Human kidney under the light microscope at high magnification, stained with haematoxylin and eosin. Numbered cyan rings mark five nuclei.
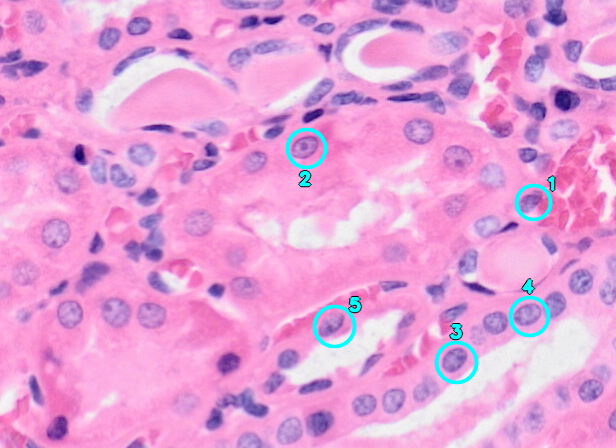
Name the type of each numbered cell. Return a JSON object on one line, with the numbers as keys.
{"1": "endothelial cell", "2": "proximal tubule cell", "3": "collecting duct cell", "4": "collecting duct cell", "5": "loop of Henle or distal tubule cell"}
